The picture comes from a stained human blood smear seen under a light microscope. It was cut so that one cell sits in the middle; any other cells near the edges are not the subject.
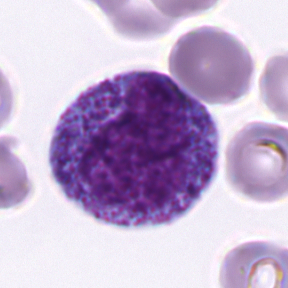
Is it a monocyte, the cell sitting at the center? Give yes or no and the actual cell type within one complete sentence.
No, the cell located centrally is a promyelocyte rather than a monocyte.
